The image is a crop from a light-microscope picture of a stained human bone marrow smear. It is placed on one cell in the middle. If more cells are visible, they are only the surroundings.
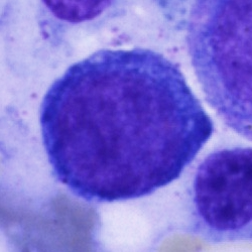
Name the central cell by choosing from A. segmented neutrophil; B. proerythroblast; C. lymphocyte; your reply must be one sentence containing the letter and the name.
Since the cell in the middle is a proerythroblast, option B is correct.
